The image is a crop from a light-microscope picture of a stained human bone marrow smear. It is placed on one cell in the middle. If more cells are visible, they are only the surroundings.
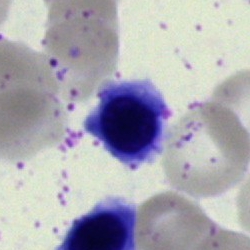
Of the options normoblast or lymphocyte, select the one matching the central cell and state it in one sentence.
To answer, the cell in the center of the crop is a normoblast.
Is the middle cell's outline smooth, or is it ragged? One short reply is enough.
Irregularity marks the cell border, whether as raggedness or as projections.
